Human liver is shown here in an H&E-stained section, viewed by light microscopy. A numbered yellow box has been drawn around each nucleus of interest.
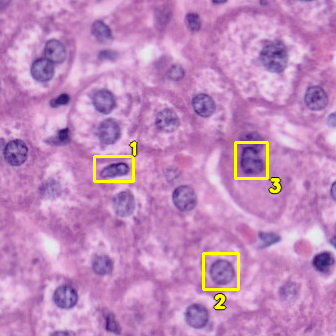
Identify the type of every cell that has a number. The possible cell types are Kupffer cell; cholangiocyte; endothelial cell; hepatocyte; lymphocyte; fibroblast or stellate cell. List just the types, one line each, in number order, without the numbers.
Kupffer cell
hepatocyte
hepatocyte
